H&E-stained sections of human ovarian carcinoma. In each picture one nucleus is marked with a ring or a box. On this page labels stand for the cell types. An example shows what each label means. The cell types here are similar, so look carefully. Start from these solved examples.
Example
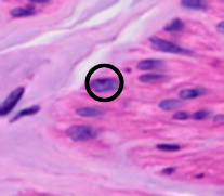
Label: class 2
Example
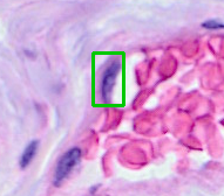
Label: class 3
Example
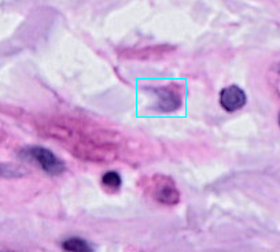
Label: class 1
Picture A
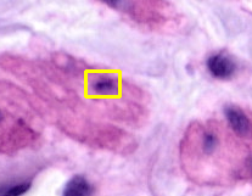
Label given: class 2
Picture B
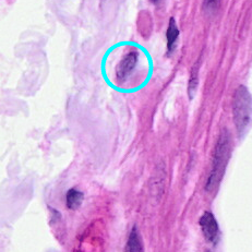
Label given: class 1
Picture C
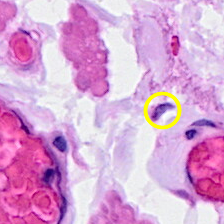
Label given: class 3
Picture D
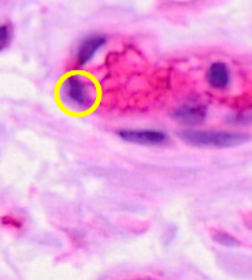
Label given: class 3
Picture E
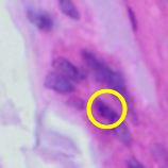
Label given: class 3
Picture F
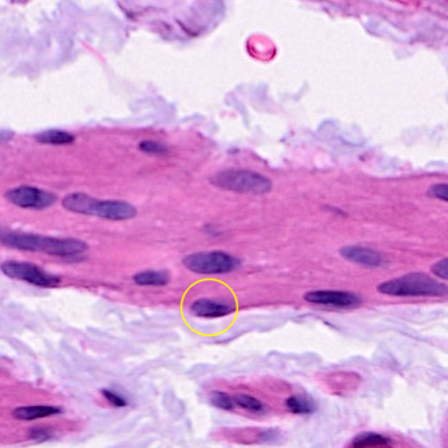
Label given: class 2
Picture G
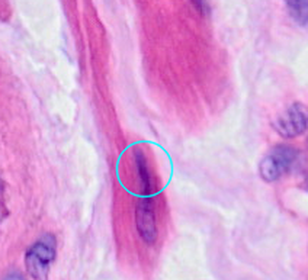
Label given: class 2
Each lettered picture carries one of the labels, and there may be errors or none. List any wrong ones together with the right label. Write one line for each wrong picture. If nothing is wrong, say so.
C should be class 1, not class 3
E should be class 2, not class 3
